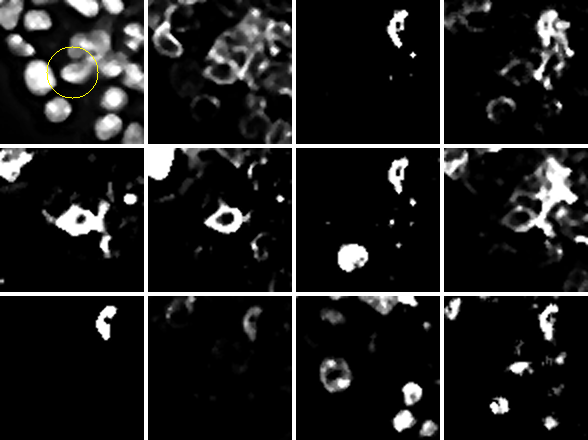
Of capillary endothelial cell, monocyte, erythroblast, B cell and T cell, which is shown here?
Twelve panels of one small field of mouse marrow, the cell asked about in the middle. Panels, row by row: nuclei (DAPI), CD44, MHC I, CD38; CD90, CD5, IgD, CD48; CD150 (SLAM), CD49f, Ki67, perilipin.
T cell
